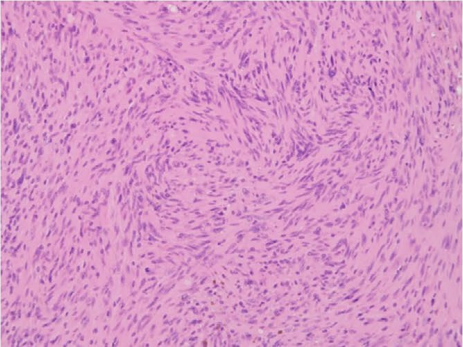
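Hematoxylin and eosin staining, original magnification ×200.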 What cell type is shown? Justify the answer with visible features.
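Densely packed spindle-shaped cells with elongated nuclei. Cells are arranged in interlacing, swirling fascicles. Pink fibrillary cytoplasm with no clear cell borders.
Hence: tumor cells with elongated cytoplasm.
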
